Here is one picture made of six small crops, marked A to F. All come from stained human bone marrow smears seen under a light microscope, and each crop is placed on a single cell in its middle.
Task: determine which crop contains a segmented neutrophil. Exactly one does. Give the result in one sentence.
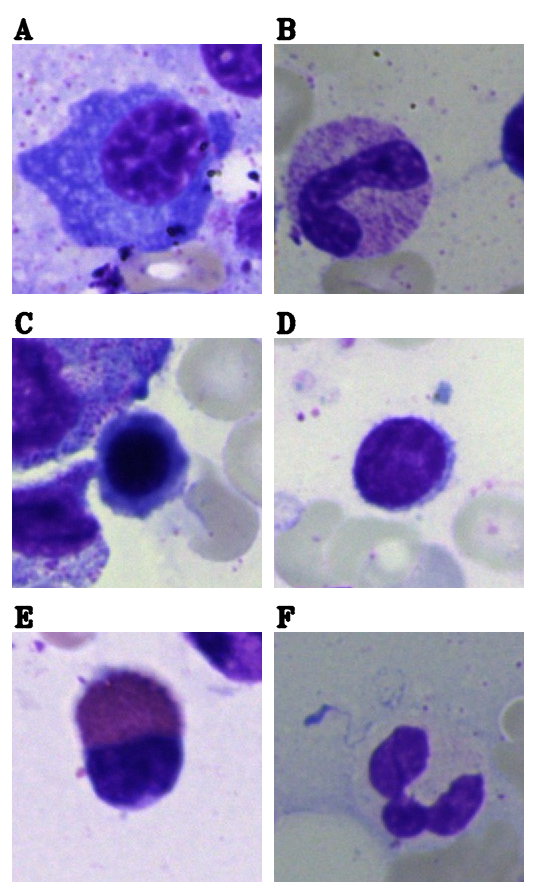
In this set, crop F is the one showing a segmented neutrophil.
